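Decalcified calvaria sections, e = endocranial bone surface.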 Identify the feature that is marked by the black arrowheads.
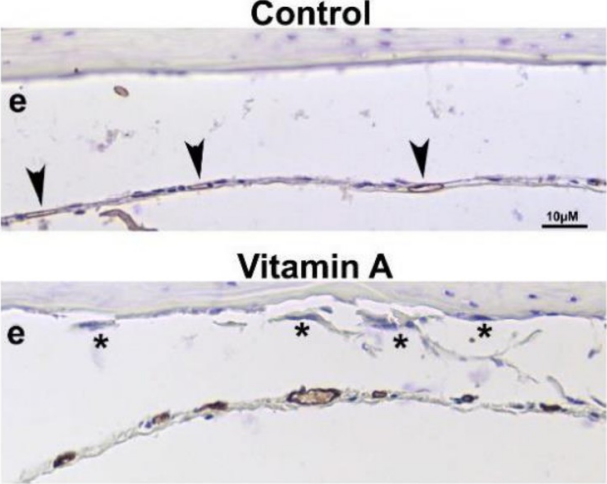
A: blood vessel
